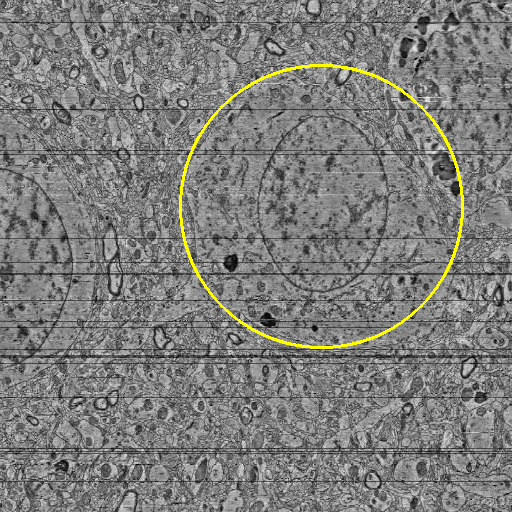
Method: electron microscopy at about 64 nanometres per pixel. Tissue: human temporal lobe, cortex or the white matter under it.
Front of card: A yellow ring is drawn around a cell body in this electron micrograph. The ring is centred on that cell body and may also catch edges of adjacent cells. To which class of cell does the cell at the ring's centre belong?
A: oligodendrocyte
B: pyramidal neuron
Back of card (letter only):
B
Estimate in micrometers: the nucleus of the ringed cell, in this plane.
The nucleus of the ringed cell is approximately 12 by 9 micrometres in this plane.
